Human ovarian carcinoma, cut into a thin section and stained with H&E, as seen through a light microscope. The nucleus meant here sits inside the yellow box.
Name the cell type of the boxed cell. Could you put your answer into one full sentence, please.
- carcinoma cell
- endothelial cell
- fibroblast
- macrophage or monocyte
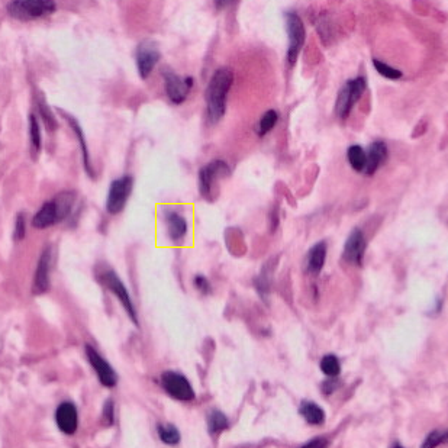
For the purposes of cell typing, the boxed cell is categorized as a fibroblast.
